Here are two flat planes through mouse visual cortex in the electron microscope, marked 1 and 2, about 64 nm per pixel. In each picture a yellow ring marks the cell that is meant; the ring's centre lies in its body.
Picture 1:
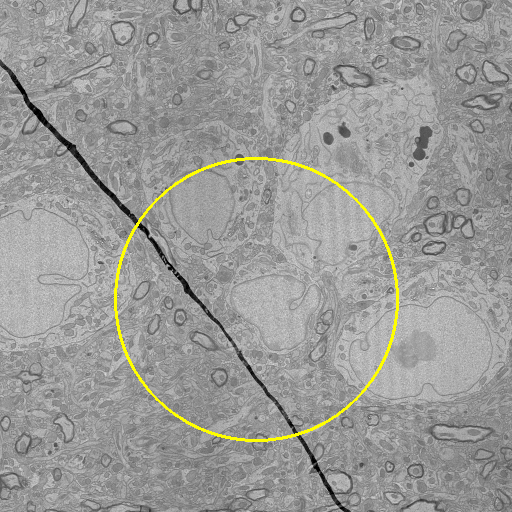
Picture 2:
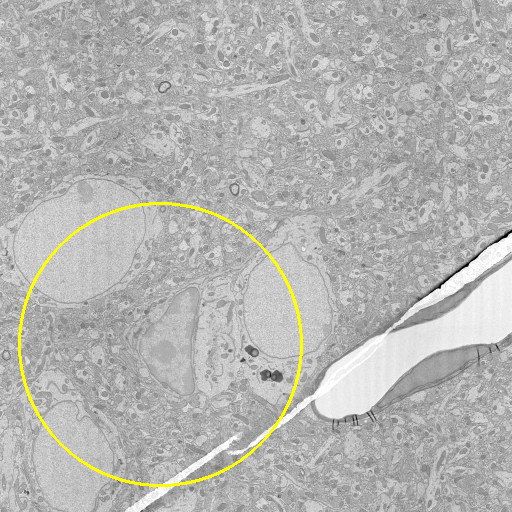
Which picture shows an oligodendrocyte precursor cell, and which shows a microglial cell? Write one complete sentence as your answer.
The cell in picture 1 is an oligodendrocyte precursor cell, and the one in picture 2 is a microglial cell.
